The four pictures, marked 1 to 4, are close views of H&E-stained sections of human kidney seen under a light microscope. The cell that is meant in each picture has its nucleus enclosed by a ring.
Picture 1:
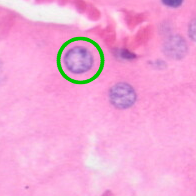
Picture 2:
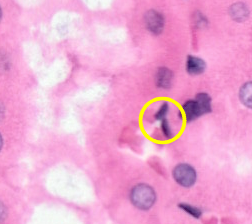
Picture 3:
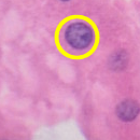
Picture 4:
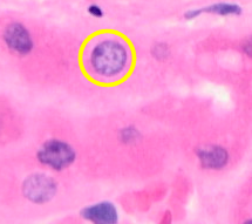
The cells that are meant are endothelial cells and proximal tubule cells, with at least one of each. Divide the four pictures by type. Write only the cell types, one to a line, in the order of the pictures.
proximal tubule cell
endothelial cell
proximal tubule cell
proximal tubule cell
